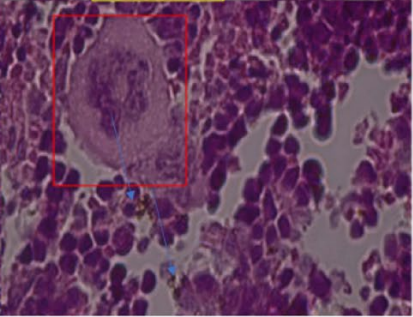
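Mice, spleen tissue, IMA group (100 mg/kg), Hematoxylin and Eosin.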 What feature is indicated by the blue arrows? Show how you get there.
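The arrows point to clumps of golden-brown granular pigment. The pigment lies between small round dark-staining cells, outside the large boxed body.
Hence: hemosiderin.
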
